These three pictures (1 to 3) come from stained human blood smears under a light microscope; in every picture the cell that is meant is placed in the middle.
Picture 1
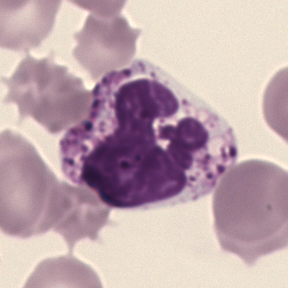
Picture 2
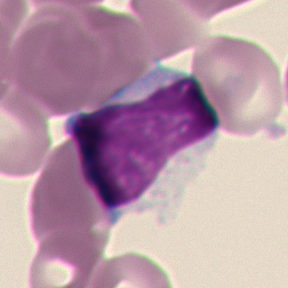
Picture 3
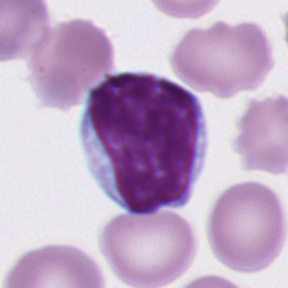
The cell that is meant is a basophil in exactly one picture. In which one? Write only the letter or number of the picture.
1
